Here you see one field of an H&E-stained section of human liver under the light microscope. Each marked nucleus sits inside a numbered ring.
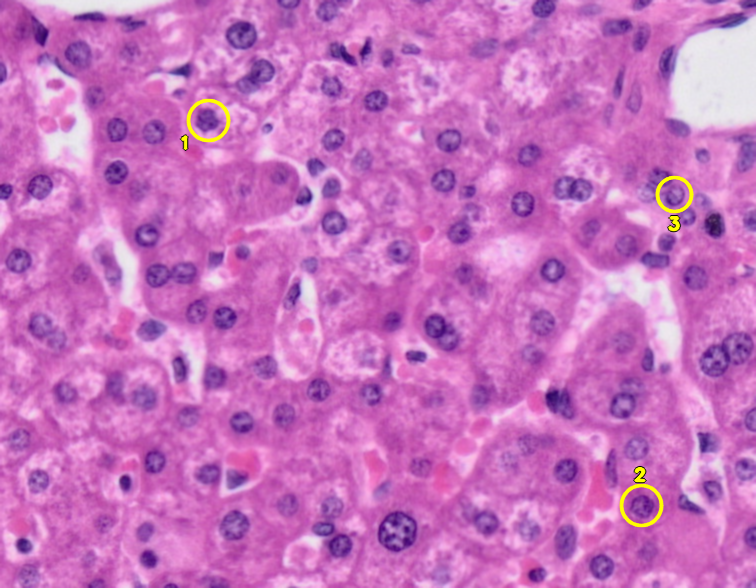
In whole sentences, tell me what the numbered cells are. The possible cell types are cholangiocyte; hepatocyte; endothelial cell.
Cell 1 is a hepatocyte, cell 2 is a hepatocyte and cell 3 is a cholangiocyte.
